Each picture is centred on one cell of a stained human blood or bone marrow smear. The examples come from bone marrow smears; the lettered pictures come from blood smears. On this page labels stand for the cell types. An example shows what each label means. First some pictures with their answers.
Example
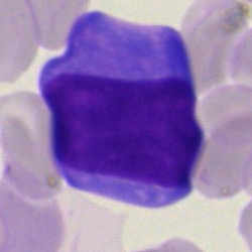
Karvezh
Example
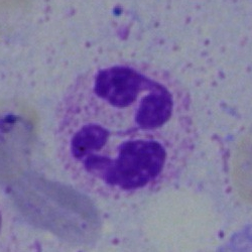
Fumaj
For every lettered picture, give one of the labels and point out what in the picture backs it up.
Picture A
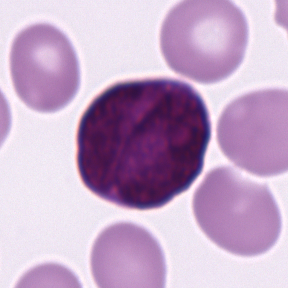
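Karvezh. Cytoplasm shows at most as a barely visible thin rim at the cell's edge.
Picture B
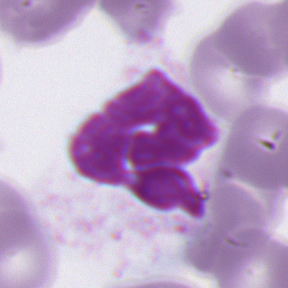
Fumaj. The nucleus is divided into several lobes folded closely together into a compact cluster.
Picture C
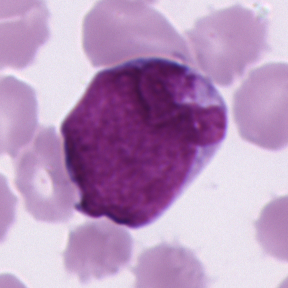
Karvezh. The cytoplasm forms only a thin rim, seen mainly along the right side of the cell.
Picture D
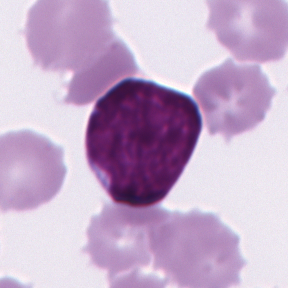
Karvezh. Cytoplasm shows only as a thin pale bluish crescent at the lower left edge of the cell.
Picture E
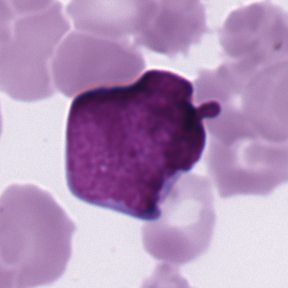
Karvezh. The cytoplasm is only a thin pale blue-grey rim, seen best along the lower edge.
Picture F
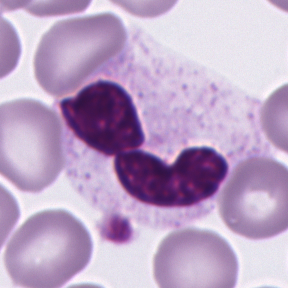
Fumaj. The nucleus is made of two separate-looking lobes.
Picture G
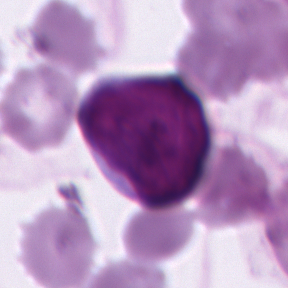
Karvezh. The nucleus fills almost the whole cell.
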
